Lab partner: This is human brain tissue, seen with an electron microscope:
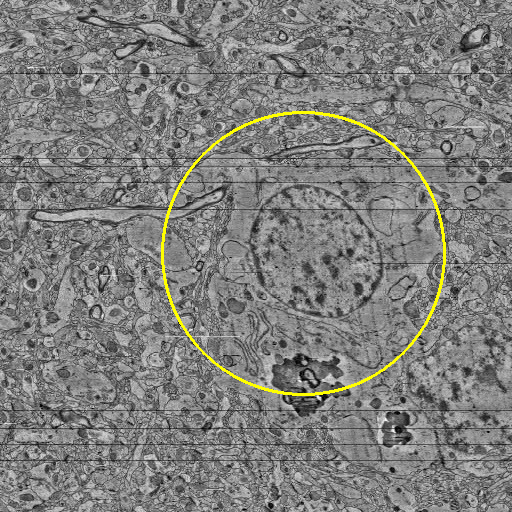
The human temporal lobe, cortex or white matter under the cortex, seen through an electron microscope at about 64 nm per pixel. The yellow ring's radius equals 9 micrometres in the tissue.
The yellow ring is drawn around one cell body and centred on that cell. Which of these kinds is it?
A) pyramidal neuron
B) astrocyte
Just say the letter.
B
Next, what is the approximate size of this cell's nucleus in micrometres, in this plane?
In this plane, the nucleus is roughly 9 by 8 micrometres.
